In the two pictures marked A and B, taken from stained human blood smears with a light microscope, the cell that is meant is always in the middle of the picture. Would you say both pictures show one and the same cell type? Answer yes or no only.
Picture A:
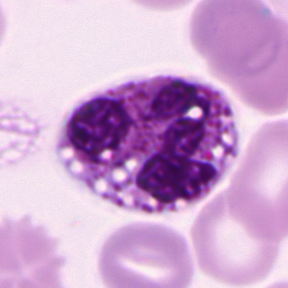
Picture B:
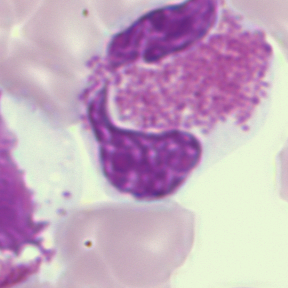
yes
